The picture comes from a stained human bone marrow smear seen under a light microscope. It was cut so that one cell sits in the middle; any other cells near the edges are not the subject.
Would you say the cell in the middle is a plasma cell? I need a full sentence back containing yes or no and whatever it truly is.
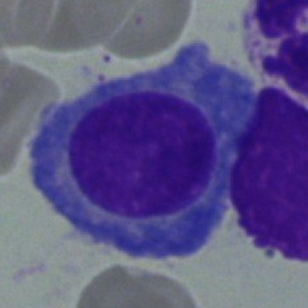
Yes, that is a plasma cell in the middle of the crop.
